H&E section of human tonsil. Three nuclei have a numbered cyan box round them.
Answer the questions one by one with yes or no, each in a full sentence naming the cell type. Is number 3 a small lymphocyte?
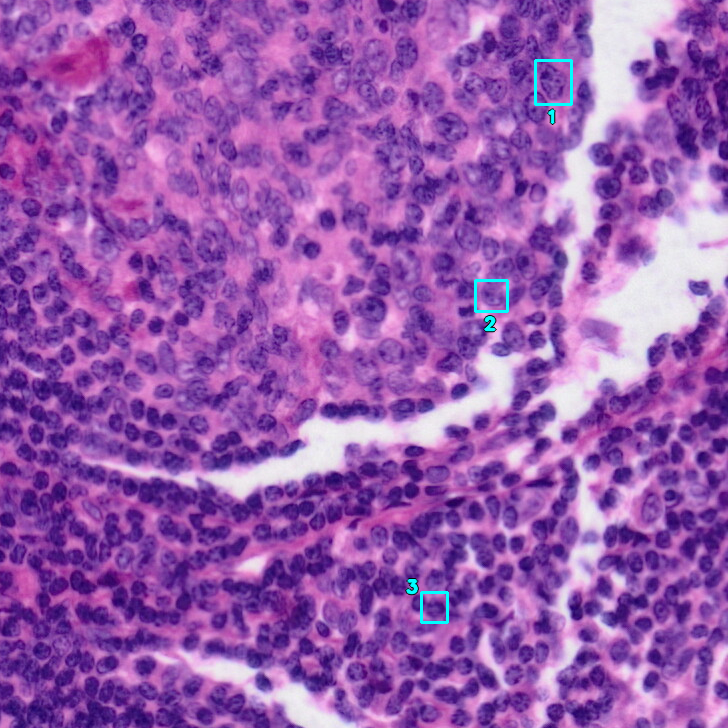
Yes, the one with the number 3 is a small lymphocyte.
